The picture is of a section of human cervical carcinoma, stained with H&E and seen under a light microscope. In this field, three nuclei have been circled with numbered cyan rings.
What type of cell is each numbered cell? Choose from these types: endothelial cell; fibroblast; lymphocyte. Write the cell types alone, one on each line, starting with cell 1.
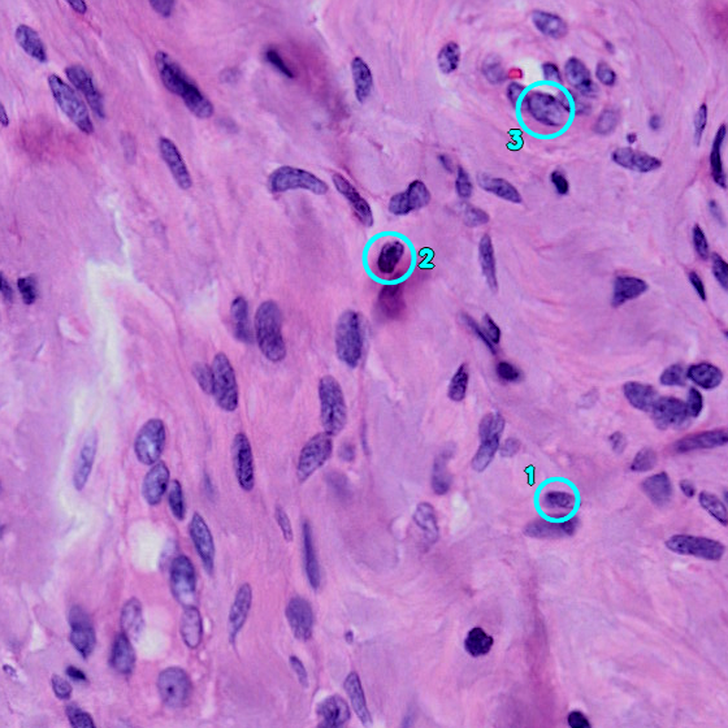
fibroblast
lymphocyte
endothelial cell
